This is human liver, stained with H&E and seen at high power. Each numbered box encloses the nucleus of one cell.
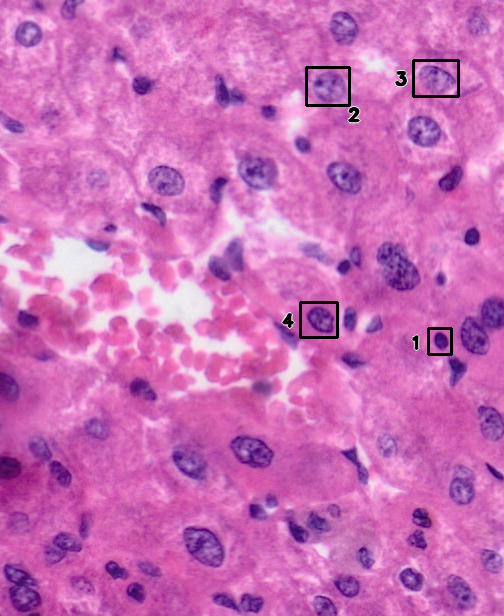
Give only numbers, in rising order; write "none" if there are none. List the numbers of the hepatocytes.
2, 3, 4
